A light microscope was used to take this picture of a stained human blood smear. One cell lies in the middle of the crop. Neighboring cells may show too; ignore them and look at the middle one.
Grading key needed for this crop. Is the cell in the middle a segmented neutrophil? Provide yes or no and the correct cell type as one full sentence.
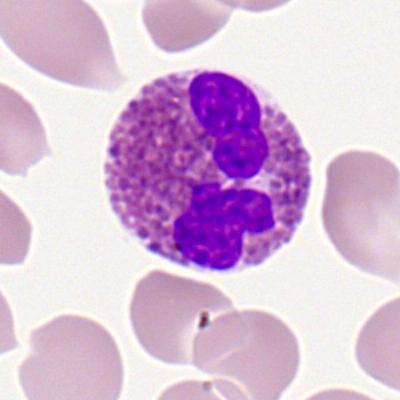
No, in the centre of the crop lies an eosinophil, not a segmented neutrophil.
